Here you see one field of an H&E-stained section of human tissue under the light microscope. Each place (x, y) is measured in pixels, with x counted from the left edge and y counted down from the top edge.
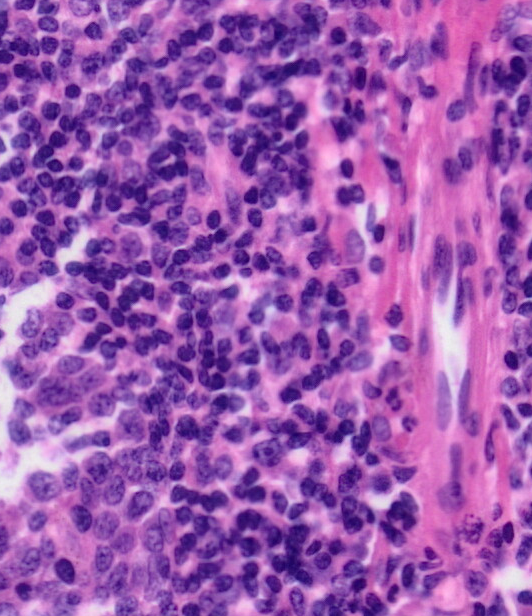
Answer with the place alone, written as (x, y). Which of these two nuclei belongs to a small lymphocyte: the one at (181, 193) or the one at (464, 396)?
(181, 193)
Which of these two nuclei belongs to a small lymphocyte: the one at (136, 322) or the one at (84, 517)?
(136, 322)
